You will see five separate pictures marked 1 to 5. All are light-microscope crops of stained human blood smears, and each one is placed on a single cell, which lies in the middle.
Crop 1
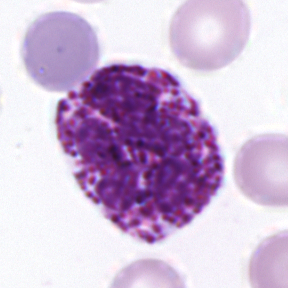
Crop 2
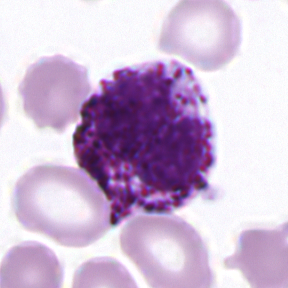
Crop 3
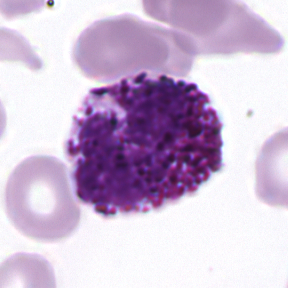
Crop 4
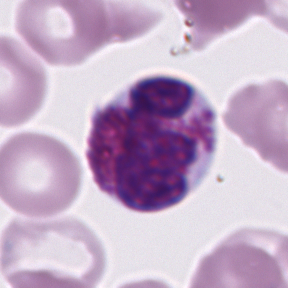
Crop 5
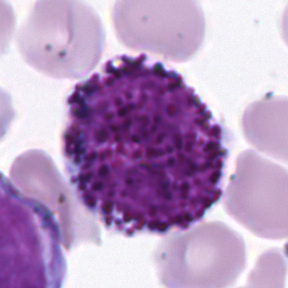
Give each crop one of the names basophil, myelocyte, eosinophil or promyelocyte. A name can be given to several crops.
1: basophil
2: basophil
3: basophil
4: eosinophil
5: basophil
